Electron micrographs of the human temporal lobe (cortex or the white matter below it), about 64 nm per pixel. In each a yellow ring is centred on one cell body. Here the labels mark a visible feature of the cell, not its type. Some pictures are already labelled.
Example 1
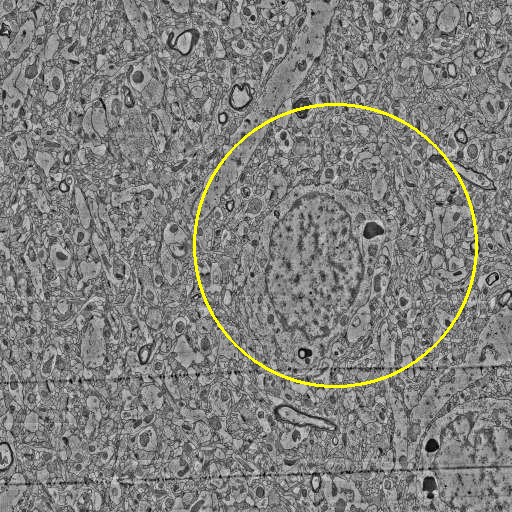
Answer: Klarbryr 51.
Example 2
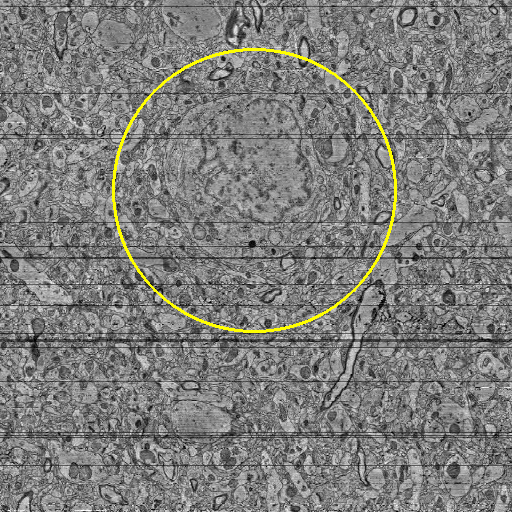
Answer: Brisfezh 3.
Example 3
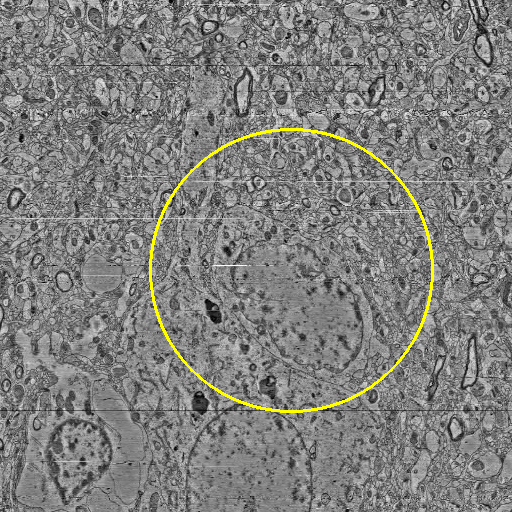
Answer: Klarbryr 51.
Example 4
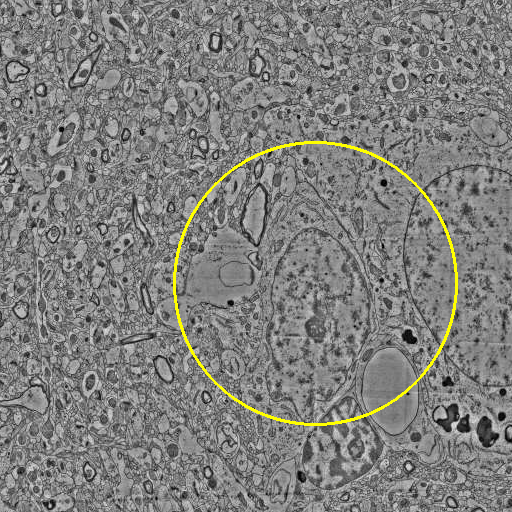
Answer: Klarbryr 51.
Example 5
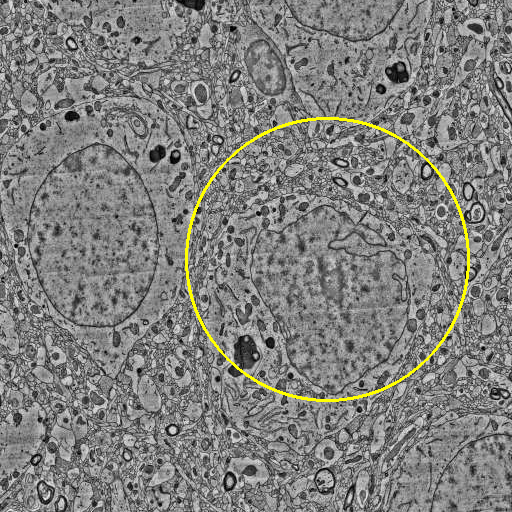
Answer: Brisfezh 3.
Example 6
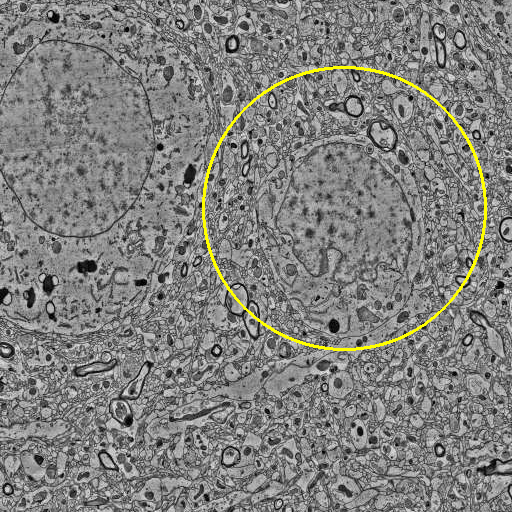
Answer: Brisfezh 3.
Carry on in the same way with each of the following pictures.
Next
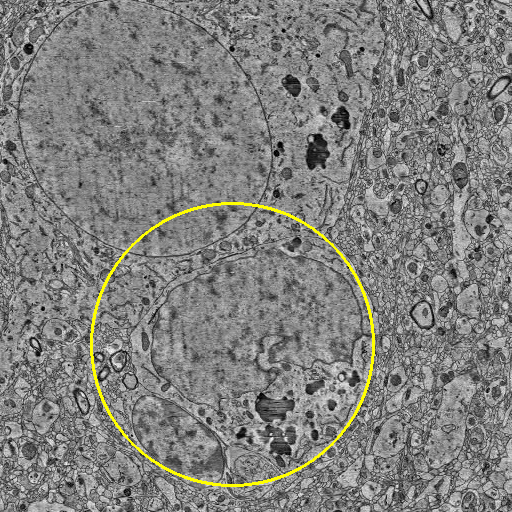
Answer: Brisfezh 3.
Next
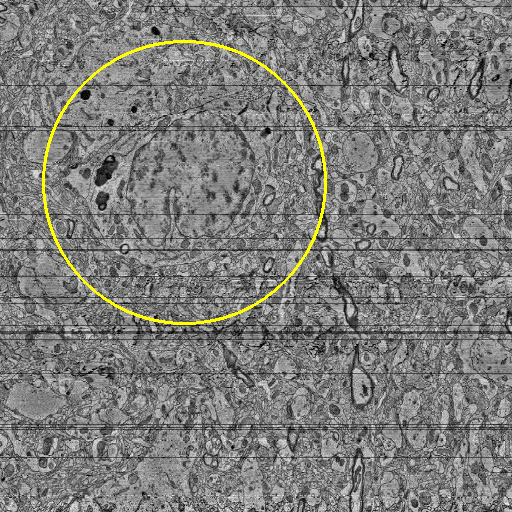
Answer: Brisfezh 3.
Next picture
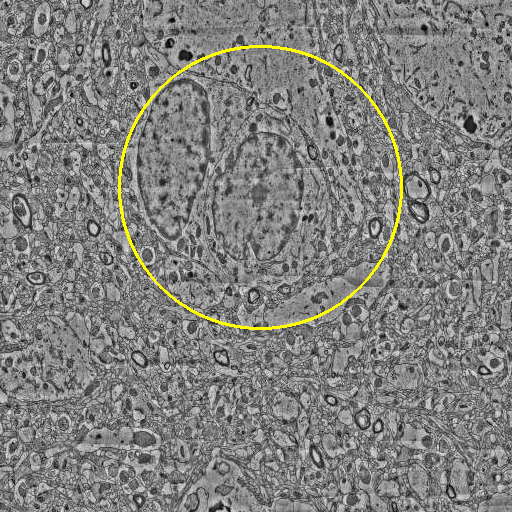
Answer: Brisfezh 3.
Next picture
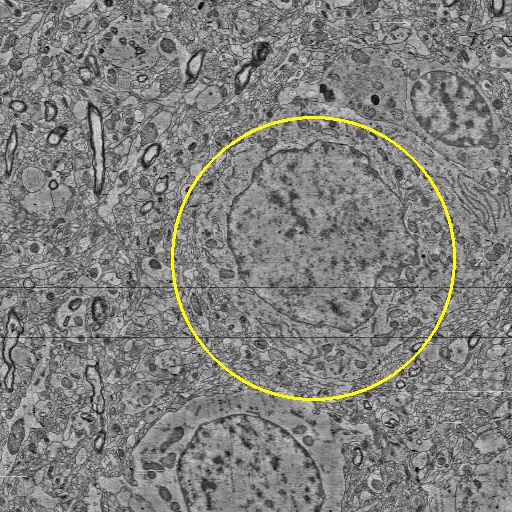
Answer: Klarbryr 51.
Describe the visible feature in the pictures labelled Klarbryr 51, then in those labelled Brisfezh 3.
Klarbryr 51, smooth nuclear envelopes without deep folds; Brisfezh 3, deeply folded or indented nuclear envelopes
